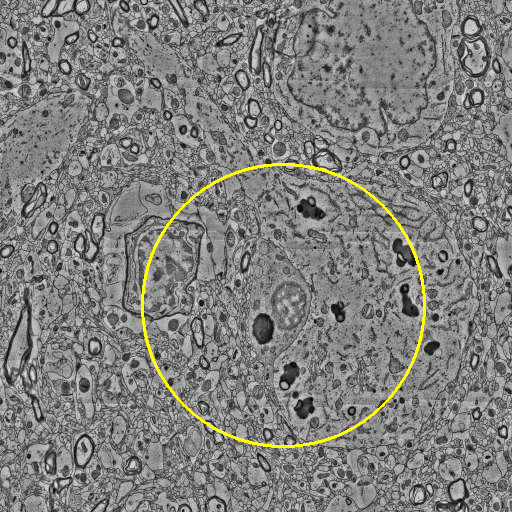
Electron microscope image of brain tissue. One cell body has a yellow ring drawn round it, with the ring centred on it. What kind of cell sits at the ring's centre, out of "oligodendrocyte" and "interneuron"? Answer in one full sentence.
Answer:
It is an oligodendrocyte whose cell body sits at the centre of the yellow ring.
